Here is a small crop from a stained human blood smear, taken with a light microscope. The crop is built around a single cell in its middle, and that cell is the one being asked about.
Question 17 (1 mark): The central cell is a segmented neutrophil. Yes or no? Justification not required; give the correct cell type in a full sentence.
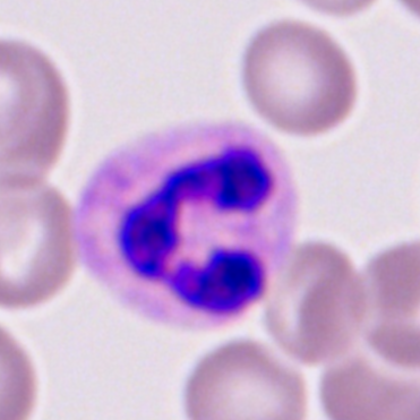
Yes, the cell at the middle of the frame is a segmented neutrophil.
